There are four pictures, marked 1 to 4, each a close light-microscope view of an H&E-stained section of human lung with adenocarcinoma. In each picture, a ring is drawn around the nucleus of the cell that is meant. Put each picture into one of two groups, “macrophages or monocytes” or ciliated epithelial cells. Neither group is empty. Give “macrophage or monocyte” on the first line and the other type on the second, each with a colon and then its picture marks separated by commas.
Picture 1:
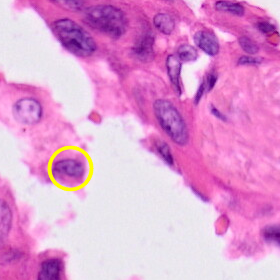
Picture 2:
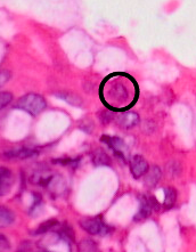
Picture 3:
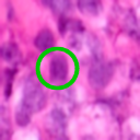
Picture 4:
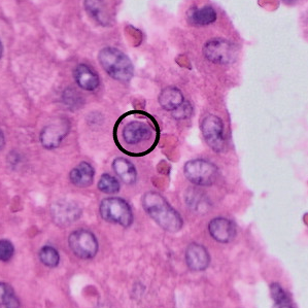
macrophage or monocyte: 1, 4
ciliated epithelial cell: 2, 3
